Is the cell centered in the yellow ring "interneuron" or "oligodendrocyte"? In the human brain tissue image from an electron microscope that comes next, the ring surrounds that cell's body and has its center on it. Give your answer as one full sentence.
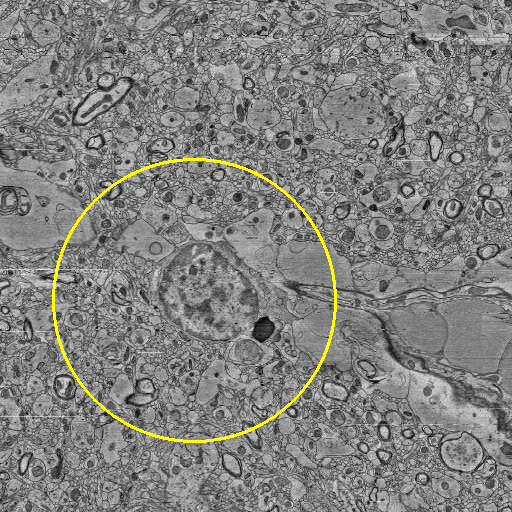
The cell at the center of the yellow ring is an oligodendrocyte in the micrograph.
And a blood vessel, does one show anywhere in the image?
Yes, a blood vessel is present in this picture.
